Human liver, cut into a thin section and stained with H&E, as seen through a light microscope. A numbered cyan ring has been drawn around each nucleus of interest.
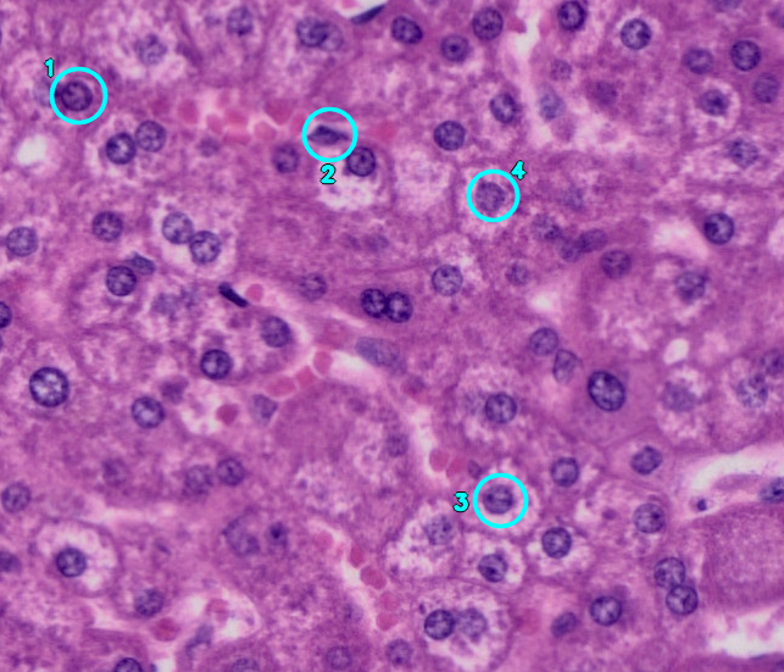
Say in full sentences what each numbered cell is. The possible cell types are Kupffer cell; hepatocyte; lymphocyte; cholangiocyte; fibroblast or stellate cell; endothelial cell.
Cells 1, 3 and 4 are hepatocytes. Cell 2 is an endothelial cell.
